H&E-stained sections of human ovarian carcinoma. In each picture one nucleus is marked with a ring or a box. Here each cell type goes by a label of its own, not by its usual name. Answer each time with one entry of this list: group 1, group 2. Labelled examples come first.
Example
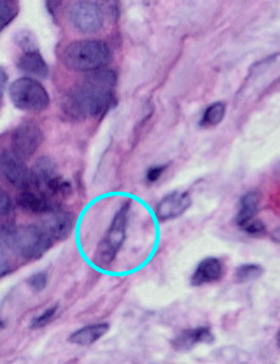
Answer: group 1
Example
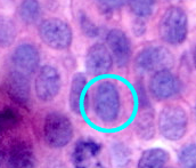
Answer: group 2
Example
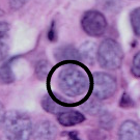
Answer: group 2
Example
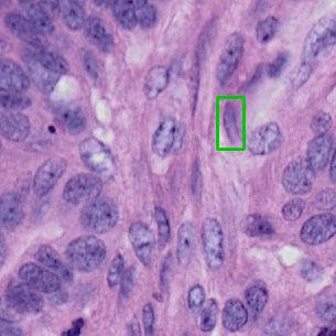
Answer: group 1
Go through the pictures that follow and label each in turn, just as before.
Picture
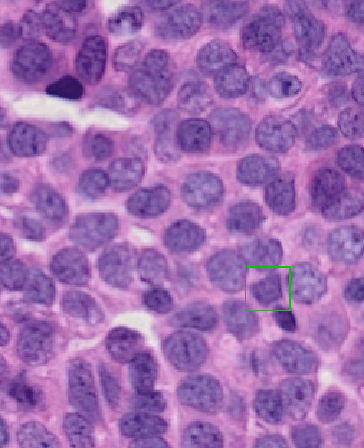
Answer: group 2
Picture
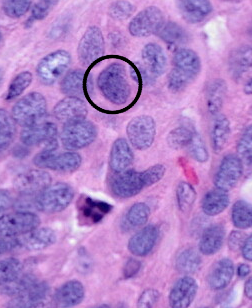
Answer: group 2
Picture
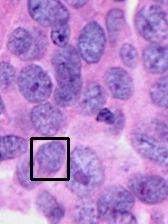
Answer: group 2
